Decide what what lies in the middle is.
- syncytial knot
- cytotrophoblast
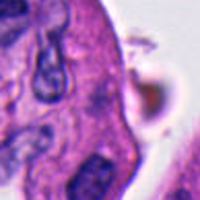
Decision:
cytotrophoblast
